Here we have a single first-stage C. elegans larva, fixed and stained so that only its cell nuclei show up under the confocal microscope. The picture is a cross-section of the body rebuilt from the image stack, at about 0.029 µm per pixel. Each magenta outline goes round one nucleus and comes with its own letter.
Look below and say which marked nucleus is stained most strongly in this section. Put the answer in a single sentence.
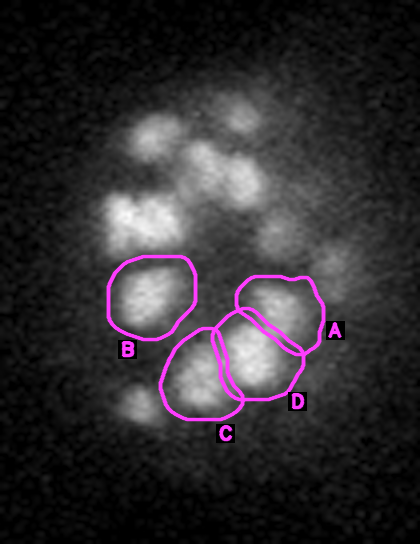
Nucleus D shows the strongest staining.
